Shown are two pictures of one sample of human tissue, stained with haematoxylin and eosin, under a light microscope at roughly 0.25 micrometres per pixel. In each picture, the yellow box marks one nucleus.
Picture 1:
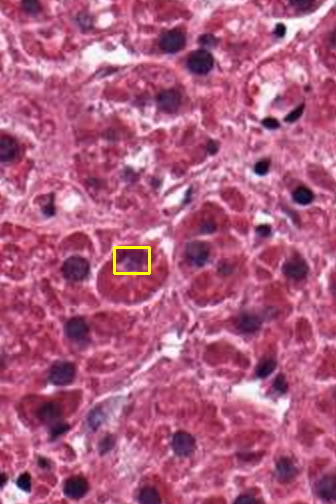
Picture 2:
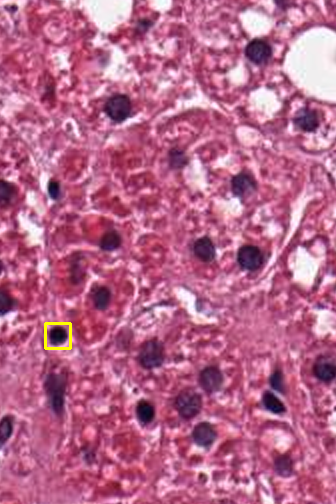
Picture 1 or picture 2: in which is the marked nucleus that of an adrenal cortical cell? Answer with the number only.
1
